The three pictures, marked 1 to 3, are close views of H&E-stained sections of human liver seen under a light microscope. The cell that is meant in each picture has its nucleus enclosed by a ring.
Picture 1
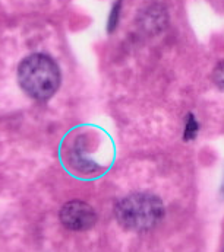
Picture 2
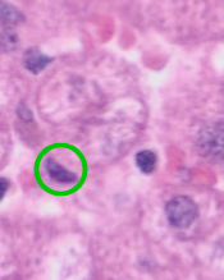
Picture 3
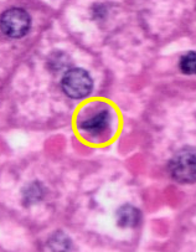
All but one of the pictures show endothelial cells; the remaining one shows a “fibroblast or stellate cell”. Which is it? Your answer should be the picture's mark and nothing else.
2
